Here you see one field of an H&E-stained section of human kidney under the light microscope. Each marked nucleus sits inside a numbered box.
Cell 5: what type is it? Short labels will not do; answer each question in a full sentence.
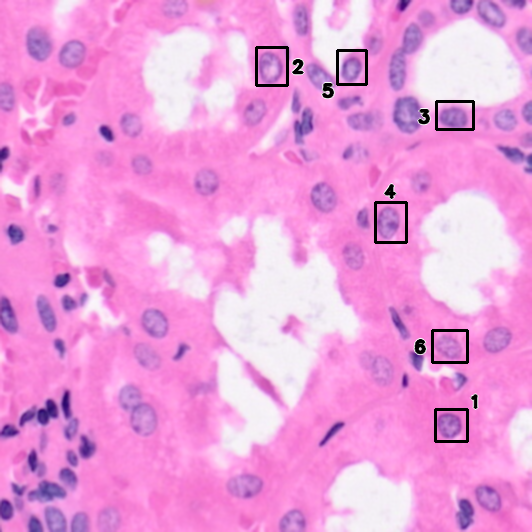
In this section, number 5 marks a loop of Henle or distal tubule cell.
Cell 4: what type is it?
The numbered cell 4 in this field is a proximal tubule cell.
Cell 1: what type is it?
In this section, the cell numbered 1 is a proximal tubule cell.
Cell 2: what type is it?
Cell 2, as marked in the section, is a proximal tubule cell.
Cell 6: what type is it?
In the marked set, the cell given number 6 is a proximal tubule cell.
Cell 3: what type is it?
Regarding cell 3, this one is a collecting duct cell.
